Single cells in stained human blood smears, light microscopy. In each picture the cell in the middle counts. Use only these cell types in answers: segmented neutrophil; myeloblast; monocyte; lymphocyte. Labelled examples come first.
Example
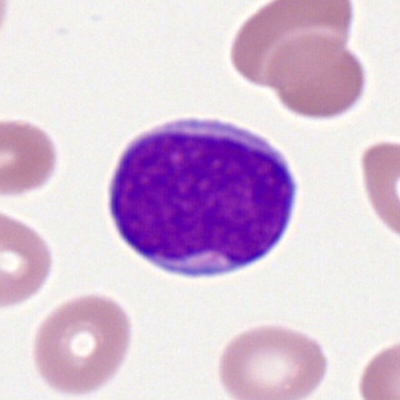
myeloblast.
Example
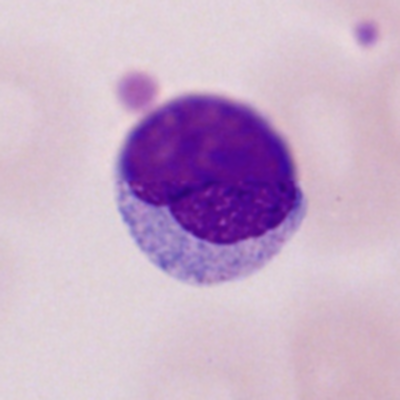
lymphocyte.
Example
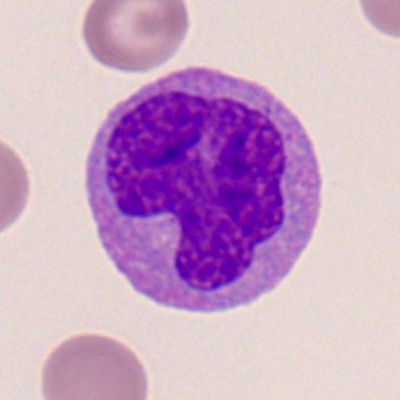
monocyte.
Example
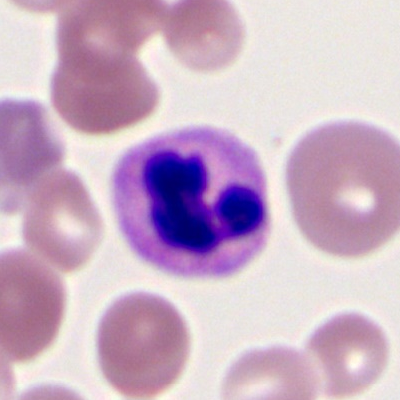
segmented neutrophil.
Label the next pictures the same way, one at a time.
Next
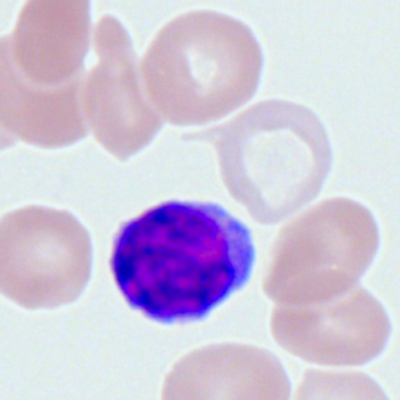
lymphocyte.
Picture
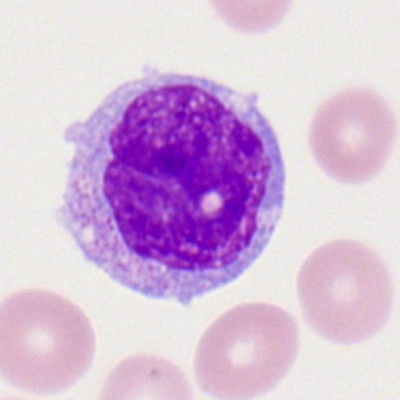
monocyte.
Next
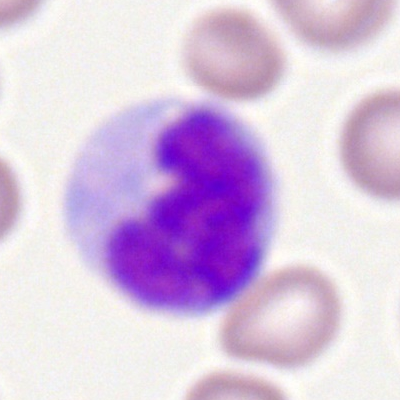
monocyte.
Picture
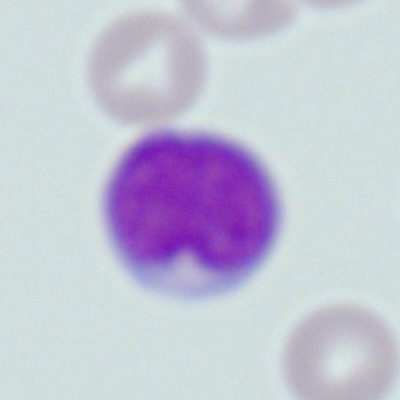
myeloblast.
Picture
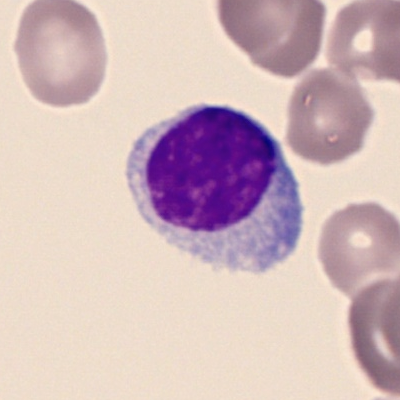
lymphocyte.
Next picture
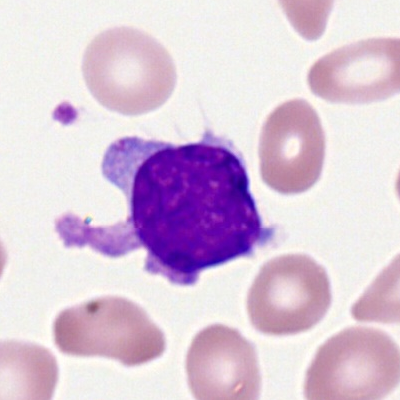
lymphocyte.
